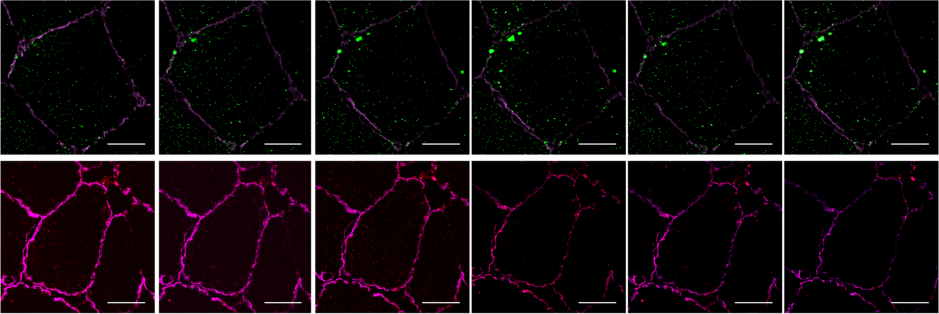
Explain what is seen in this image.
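This is a cross-section of muscle with one large polygonal muscle fibre in the middle, outlined by a thin pink membrane border and packed against neighbouring fibres. In the upper row, many small green dots are scattered through the interior of the fibre, with a few larger, brighter ones. In the lower row, the red dots inside the fibre are much fainter and sparser, while the pink outlines stand out strongly.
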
